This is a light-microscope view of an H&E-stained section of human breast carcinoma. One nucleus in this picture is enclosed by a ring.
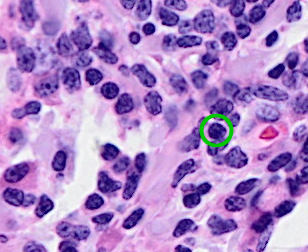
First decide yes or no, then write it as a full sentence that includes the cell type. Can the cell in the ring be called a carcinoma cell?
No, as a cell type, the cell in the ring is a lymphocyte rather than a carcinoma cell.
